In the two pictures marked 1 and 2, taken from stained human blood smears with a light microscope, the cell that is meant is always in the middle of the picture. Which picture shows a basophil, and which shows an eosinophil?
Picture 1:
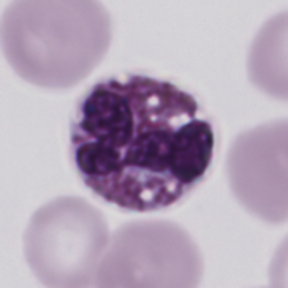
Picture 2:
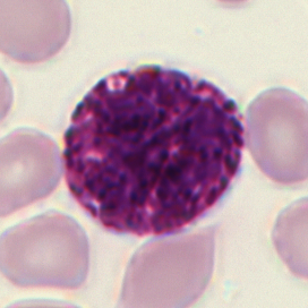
1: eosinophil
2: basophil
